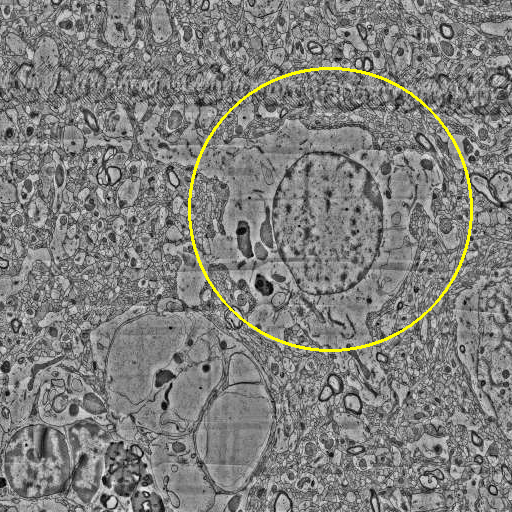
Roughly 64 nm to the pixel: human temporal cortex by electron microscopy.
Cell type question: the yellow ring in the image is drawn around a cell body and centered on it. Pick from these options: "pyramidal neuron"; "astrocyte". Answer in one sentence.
The ringed cell at the center is an astrocyte.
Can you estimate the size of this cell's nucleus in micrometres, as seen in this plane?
In this plane the nucleus measures roughly 9 by 8 micrometres.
